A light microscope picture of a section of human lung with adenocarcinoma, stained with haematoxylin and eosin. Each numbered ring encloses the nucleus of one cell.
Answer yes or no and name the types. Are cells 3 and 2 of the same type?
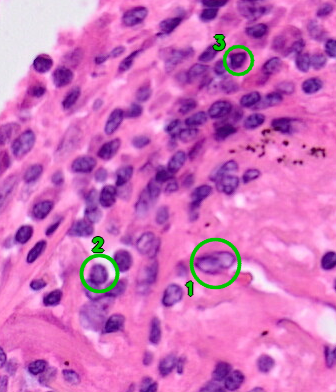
No, cell 3 is a plasma cell; as for cell 2, that one is a lymphocyte.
